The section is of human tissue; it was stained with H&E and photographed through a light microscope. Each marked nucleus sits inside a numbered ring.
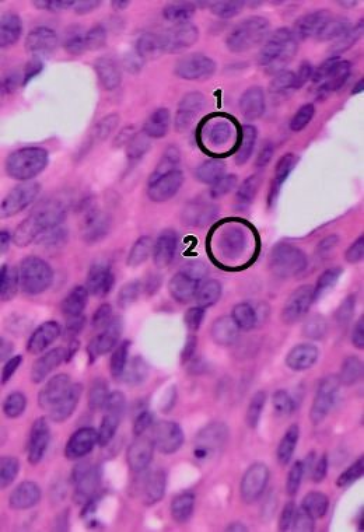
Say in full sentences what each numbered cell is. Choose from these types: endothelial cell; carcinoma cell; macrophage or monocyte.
Cell 1 is a macrophage or monocyte. Cell 2 is a carcinoma cell.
